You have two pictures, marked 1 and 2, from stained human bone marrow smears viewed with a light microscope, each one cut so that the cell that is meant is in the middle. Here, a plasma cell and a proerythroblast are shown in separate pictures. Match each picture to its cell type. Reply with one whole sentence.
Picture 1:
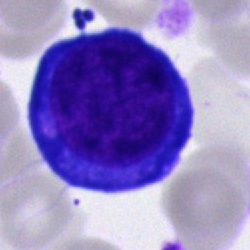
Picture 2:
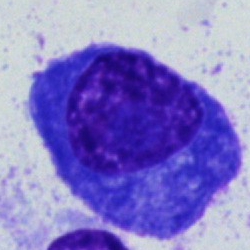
It is picture 1 that shows a proerythroblast, and picture 2 that shows a plasma cell.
